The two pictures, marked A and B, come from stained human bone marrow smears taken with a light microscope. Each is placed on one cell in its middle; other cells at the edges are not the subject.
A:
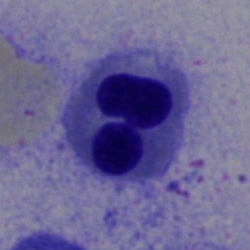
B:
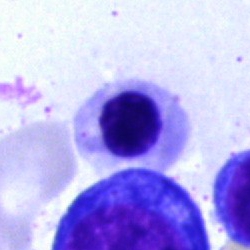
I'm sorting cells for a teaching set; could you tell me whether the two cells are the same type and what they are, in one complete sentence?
Yes, shown in both crops are normoblasts.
